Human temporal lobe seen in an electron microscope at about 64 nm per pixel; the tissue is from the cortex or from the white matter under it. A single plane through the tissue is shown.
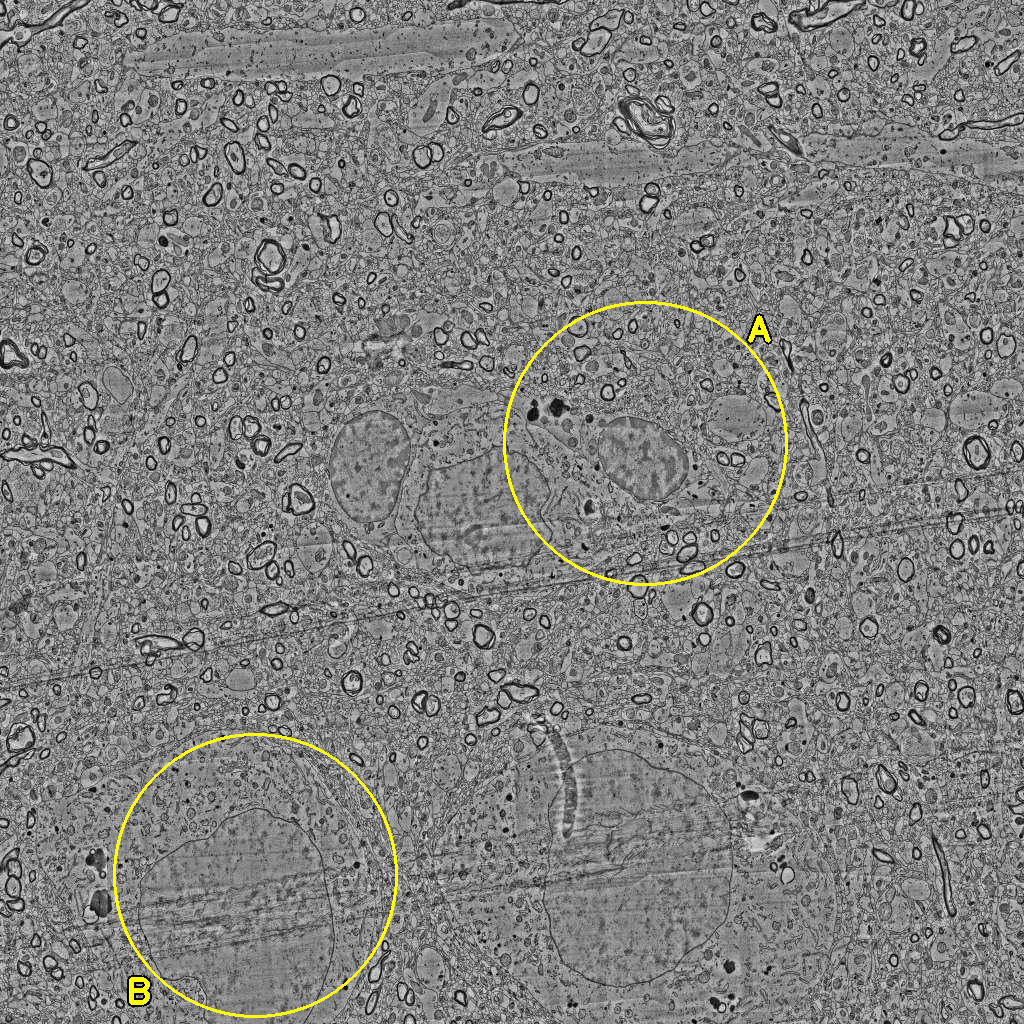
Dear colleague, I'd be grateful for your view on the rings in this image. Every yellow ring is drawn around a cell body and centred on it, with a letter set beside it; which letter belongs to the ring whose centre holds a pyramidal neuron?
B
